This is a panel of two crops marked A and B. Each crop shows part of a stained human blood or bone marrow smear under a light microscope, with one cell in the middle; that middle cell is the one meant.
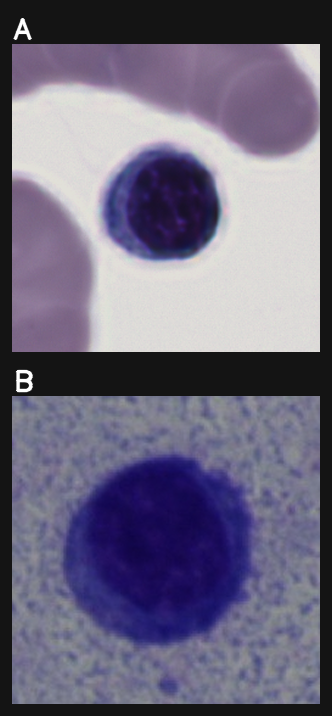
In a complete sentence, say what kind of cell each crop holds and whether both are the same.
Yes, the central cells, in both crops, are plasma cells.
